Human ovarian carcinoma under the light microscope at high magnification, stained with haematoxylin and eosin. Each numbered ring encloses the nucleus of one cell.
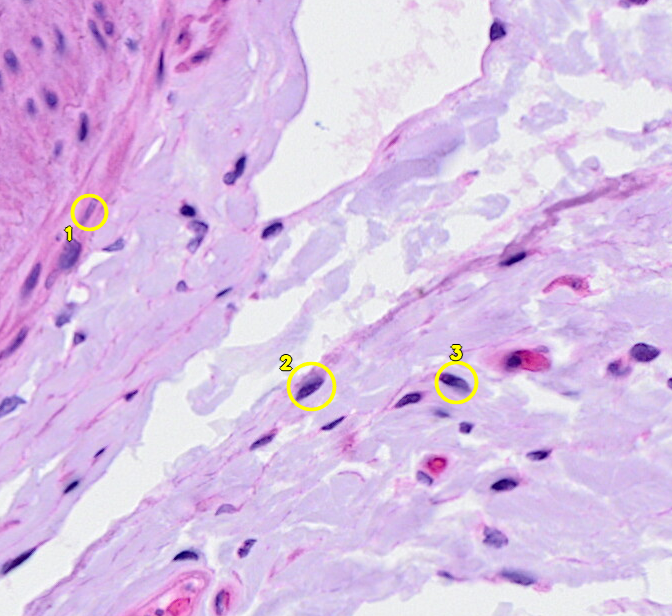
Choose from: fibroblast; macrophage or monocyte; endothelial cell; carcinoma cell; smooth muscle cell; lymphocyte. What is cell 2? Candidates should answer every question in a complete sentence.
In the marked set, the cell given number 2 is a fibroblast.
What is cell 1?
The cell carrying label 1 is identified as a smooth muscle cell.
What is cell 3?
Cell 3 should be recorded as a fibroblast.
